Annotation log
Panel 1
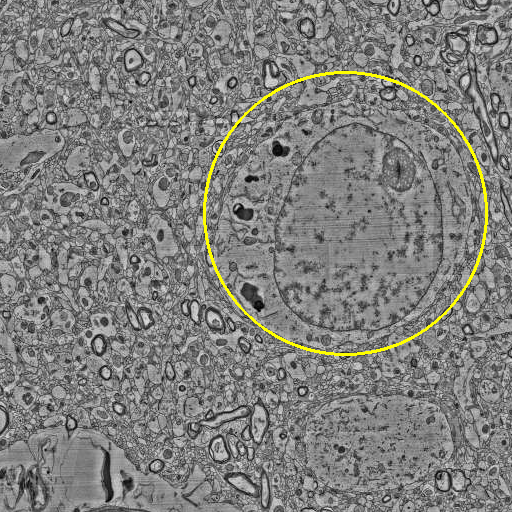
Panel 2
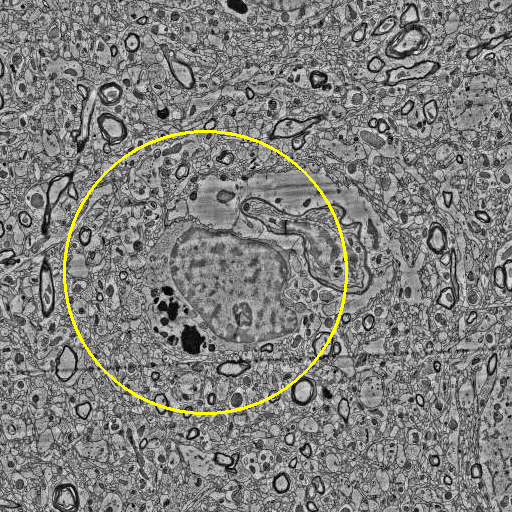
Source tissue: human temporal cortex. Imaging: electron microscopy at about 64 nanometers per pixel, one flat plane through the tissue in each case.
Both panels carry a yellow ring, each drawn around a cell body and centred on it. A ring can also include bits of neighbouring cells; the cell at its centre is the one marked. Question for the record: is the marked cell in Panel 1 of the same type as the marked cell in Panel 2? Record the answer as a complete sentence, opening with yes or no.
No, the marked cells in Panel 1 and Panel 2 are of two types.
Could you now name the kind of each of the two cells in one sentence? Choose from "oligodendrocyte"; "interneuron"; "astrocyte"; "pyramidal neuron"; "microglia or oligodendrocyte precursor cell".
The first ring encloses a pyramidal neuron; the second ring encloses an oligodendrocyte.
